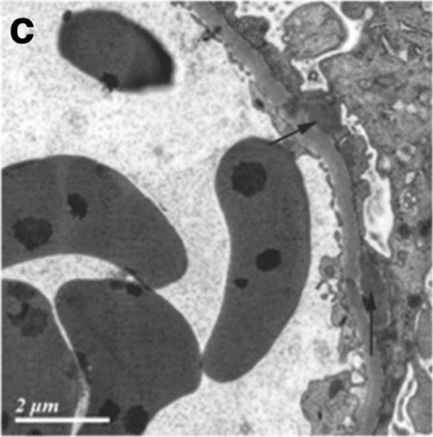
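This electron micrograph shows a glomerular capillary lumen holding several red blood cells, bounded by a thickened basement membrane. Dark, dense deposits lie along the outer, epithelial side of the membrane, and the overlying epithelial cell spreads flat over it rather than resting on separate foot processes.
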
